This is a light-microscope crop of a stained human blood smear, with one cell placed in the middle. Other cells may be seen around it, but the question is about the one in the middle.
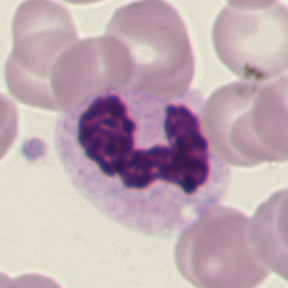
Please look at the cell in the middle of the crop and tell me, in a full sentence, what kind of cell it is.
As for the cell in the middle, it is a neutrophil.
